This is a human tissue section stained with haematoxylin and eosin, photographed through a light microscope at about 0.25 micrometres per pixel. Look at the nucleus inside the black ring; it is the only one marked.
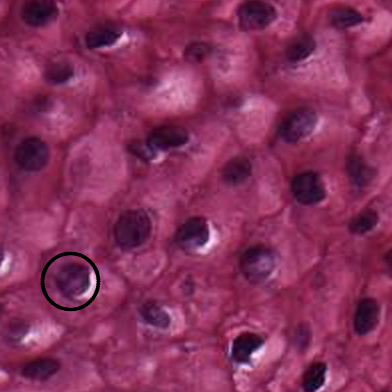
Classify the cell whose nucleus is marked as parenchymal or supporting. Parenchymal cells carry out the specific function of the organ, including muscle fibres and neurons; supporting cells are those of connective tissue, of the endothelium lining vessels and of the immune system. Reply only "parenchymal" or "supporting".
parenchymal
